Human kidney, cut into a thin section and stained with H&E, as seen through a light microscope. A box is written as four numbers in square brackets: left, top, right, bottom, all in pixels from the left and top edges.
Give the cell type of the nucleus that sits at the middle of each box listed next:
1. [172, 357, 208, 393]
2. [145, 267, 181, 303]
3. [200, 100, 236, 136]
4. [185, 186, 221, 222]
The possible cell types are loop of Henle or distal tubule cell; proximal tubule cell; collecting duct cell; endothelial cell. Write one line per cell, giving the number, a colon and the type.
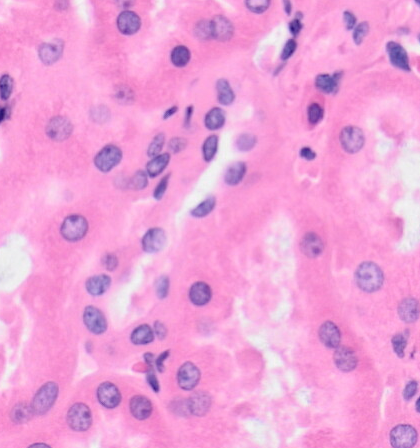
1: proximal tubule cell
2: collecting duct cell
3: collecting duct cell
4: collecting duct cell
